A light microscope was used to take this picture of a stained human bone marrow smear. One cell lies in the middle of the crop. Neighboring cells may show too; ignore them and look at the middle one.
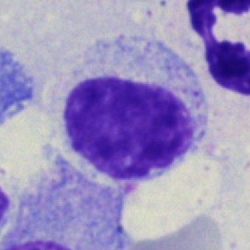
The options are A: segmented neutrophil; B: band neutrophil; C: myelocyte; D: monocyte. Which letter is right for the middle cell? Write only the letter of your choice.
C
